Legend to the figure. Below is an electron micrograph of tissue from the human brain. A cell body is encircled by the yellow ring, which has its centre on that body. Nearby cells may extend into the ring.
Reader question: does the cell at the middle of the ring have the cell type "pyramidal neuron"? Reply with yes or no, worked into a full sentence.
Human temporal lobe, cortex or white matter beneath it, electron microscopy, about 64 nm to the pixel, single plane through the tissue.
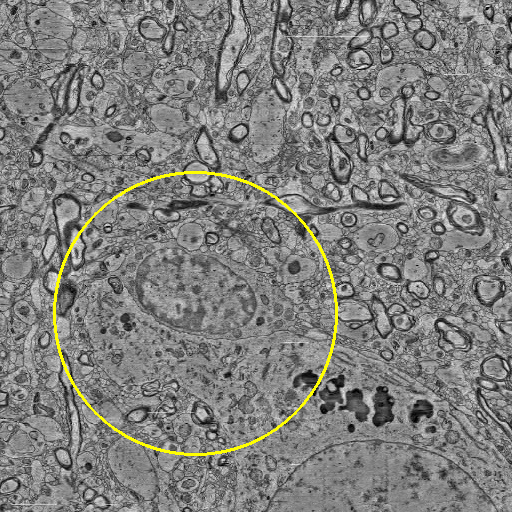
No, the cell sitting at the middle of the ring in the picture has another cell type.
